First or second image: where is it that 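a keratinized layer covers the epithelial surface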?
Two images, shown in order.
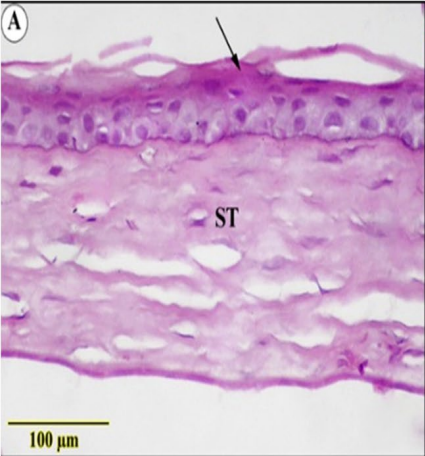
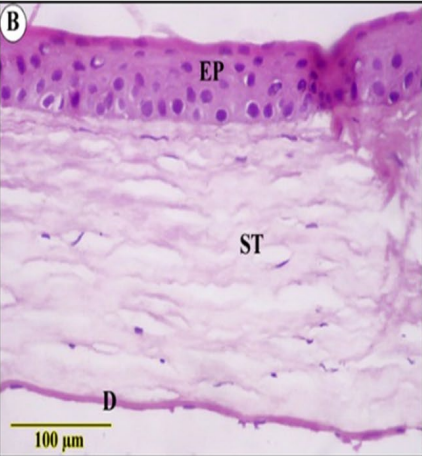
the first image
